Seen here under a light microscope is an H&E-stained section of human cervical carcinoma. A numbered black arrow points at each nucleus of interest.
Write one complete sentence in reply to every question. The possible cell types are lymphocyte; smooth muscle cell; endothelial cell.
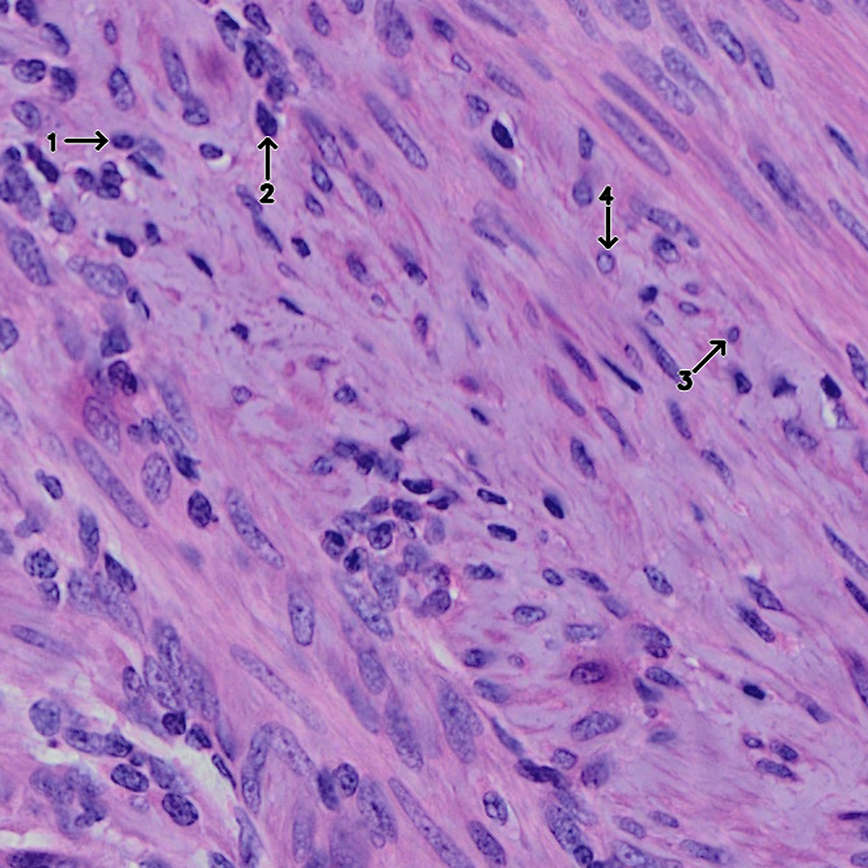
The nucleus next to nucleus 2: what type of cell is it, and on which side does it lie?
The closest nucleus belongs to a lymphocyte and sits above nucleus 2.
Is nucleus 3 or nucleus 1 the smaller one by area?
Nucleus 3 covers less area, with nucleus 1 about 1.5 times as large.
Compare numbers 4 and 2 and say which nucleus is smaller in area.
Nucleus 4 is the smaller one; nucleus 2 covers about 2 times its area.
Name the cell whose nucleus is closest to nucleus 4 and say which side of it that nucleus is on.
It is a smooth muscle cell, whose nucleus lies to the left of nucleus 4.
